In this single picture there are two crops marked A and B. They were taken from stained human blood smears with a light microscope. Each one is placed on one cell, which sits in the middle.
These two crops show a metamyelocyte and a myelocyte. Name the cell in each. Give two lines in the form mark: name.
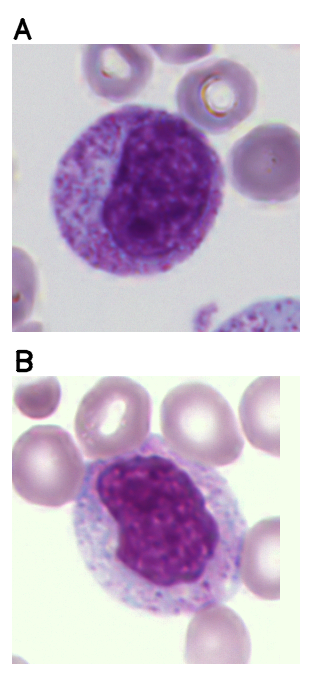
A: myelocyte
B: metamyelocyte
